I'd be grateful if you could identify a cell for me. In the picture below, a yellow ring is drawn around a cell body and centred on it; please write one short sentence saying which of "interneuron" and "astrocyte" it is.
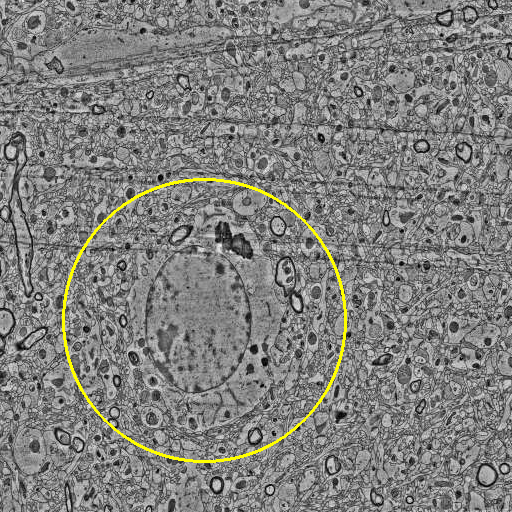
The cell under the ring's centre is an astrocyte.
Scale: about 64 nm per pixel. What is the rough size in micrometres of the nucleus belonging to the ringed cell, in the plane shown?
About 9 by 7 micrometers, in this plane.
